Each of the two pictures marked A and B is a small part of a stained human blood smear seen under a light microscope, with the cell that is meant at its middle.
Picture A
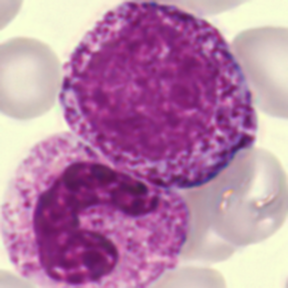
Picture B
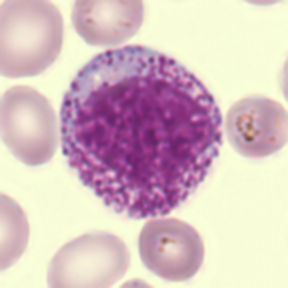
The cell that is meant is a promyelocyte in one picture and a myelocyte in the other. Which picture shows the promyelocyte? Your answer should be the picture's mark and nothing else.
A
